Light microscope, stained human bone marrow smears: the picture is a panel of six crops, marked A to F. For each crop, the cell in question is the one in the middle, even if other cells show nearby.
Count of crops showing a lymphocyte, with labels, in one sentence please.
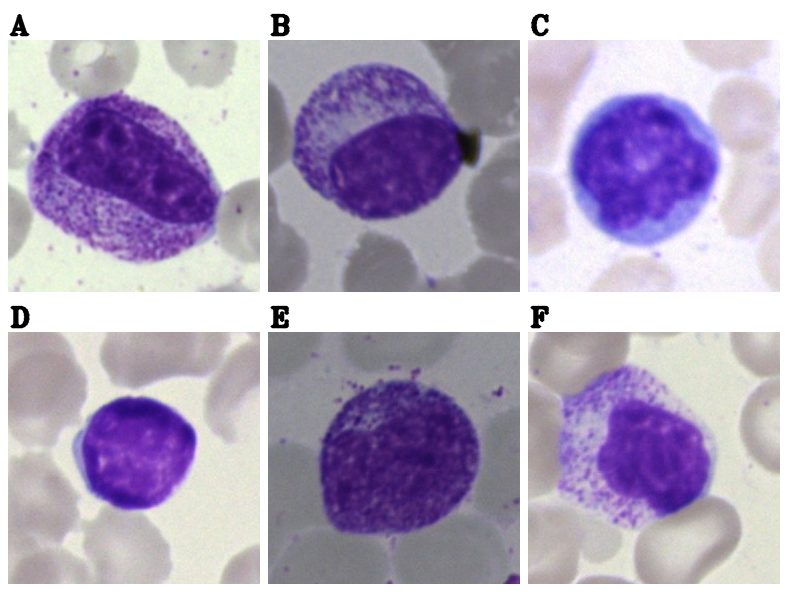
There is exactly one crop with a lymphocyte, and its label is D.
